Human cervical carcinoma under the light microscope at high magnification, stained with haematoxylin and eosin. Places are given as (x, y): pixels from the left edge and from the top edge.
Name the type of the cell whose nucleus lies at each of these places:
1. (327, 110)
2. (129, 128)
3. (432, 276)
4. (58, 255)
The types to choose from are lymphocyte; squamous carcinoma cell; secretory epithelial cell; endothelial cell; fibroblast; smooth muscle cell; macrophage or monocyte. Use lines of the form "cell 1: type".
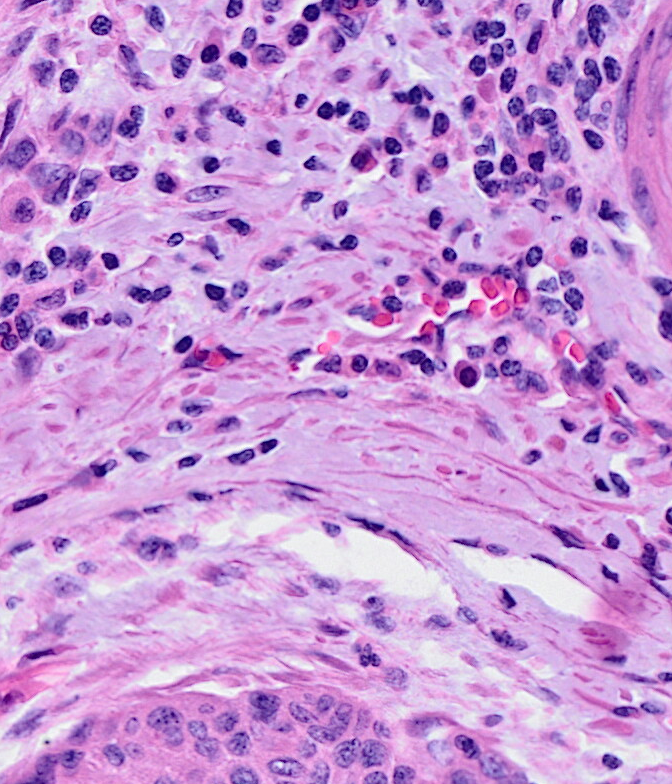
cell 1: lymphocyte
cell 2: lymphocyte
cell 3: endothelial cell
cell 4: lymphocyte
